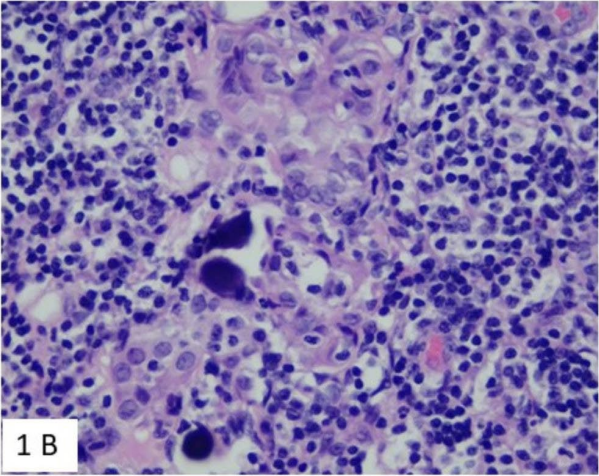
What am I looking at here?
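Here a nest of large epithelial cells lies within a lymph node, surrounded on all sides by crowds of small, round, dark-staining lymphocytes. The epithelial cells have ample pale pink cytoplasm and large oval nuclei that are much paler and bigger than the lymphocyte nuclei. Within the nest sit a few dense, deep purple, rounded bodies, the psammoma bodies, which are darker and more solid than any nucleus in the field.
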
